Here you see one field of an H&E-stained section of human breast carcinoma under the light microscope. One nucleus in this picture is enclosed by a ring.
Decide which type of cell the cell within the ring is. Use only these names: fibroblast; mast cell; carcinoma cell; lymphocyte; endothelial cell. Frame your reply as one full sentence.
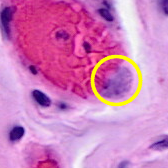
In the stained section, the cell within the ring is an endothelial cell.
